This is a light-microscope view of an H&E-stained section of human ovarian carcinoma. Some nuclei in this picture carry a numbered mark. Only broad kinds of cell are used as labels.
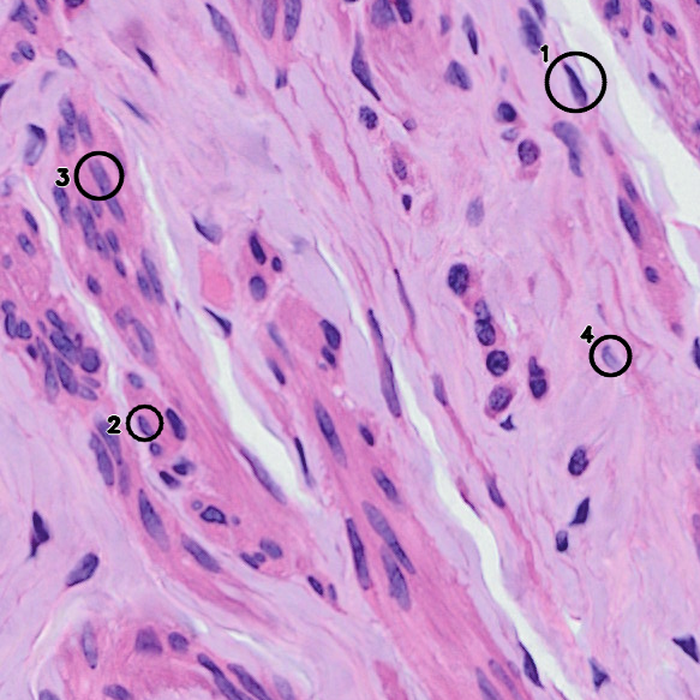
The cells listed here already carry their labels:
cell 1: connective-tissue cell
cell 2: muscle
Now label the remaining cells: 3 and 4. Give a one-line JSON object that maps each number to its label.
{"3": "muscle", "4": "muscle"}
